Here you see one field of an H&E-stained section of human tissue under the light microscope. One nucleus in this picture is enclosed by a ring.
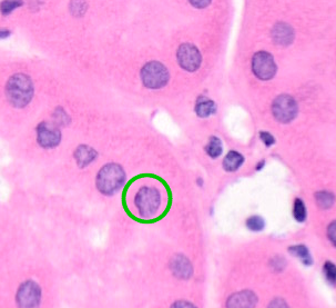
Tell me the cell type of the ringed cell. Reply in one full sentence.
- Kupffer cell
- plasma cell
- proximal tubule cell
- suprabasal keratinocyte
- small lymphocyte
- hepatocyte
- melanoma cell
The ringed cell is a proximal tubule cell.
